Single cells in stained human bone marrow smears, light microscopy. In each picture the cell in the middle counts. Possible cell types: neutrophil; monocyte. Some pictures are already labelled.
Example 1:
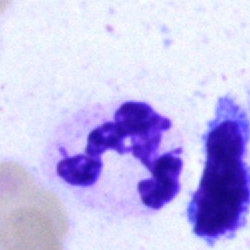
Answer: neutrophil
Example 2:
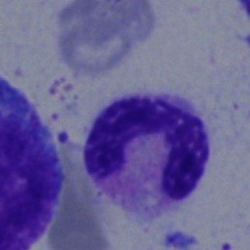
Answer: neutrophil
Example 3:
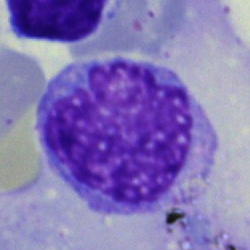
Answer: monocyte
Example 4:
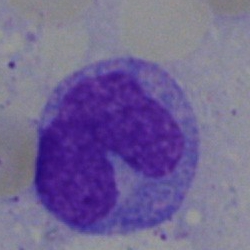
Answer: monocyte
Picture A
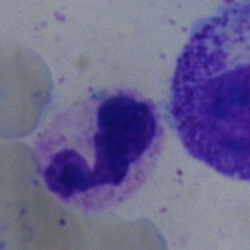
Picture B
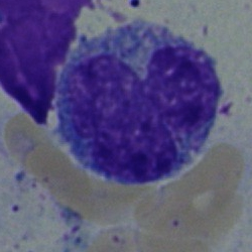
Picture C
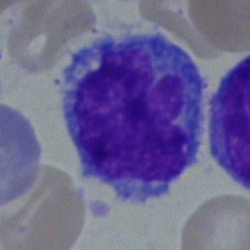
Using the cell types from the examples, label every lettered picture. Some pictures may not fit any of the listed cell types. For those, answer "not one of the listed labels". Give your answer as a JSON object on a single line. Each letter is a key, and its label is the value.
{"A": "neutrophil", "B": "monocyte", "C": "monocyte"}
